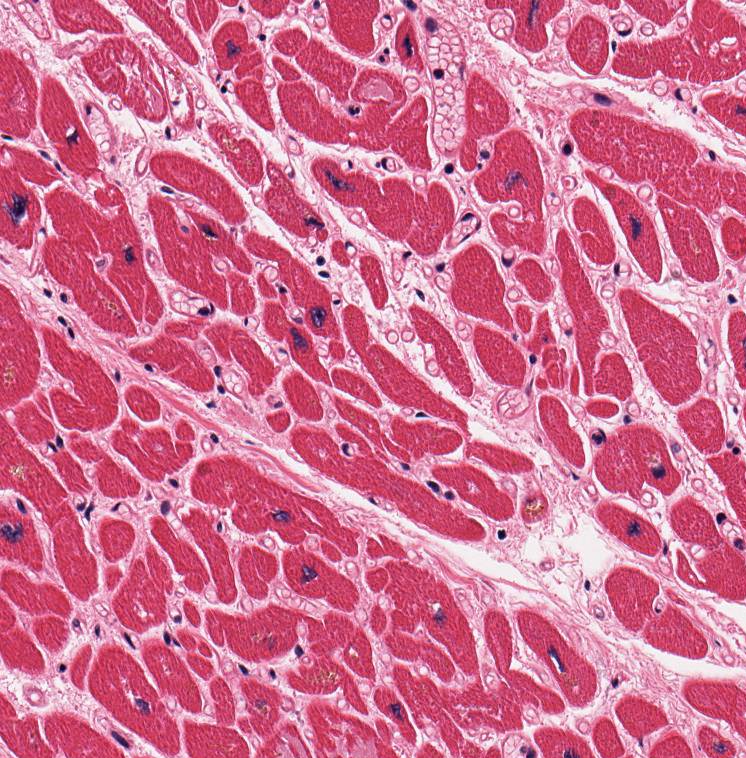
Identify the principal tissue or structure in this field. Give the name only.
myocardium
